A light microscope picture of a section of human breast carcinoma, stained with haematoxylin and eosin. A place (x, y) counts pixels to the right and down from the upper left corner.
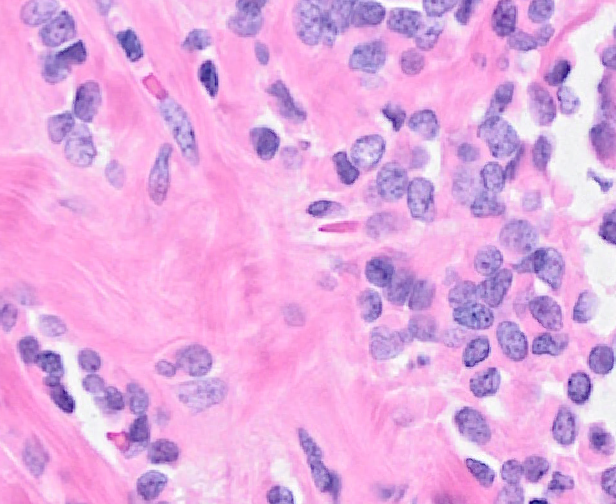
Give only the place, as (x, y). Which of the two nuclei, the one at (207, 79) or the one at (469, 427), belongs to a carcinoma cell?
(469, 427)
